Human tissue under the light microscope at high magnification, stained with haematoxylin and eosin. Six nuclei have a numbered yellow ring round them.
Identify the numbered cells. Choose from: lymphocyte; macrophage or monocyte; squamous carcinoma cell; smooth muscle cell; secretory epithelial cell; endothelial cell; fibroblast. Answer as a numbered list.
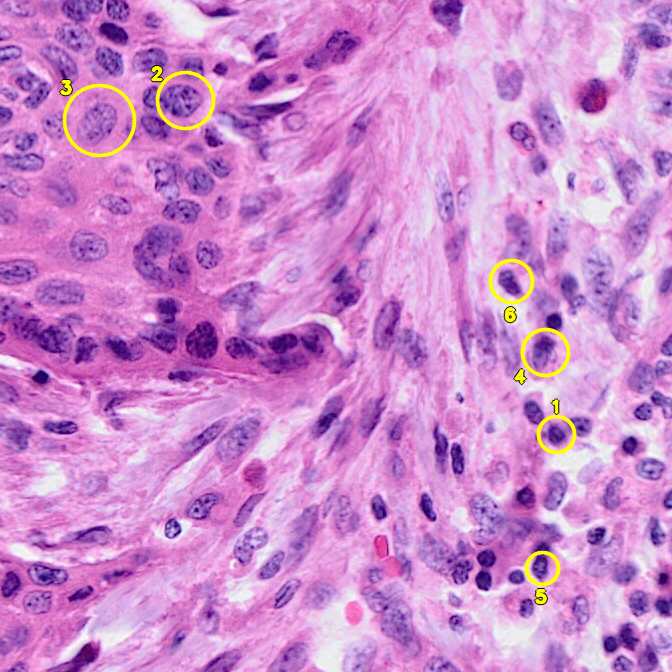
1. lymphocyte
2. squamous carcinoma cell
3. squamous carcinoma cell
4. macrophage or monocyte
5. lymphocyte
6. lymphocyte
